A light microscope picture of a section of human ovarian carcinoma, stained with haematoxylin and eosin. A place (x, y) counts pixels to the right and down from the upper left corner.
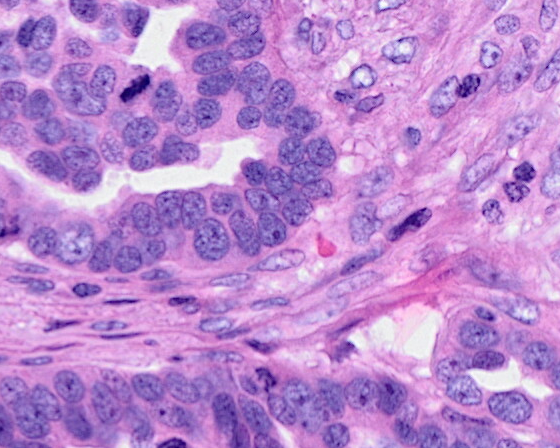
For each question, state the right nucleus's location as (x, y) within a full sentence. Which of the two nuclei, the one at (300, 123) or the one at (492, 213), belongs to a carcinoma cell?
The nucleus at (300, 123) is attributed to a carcinoma cell, unlike the other nucleus.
